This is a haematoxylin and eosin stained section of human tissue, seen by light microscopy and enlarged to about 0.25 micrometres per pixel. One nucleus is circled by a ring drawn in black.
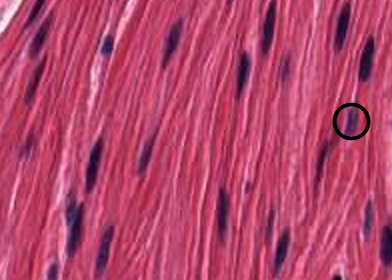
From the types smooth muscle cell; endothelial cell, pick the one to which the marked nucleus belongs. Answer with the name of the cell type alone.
smooth muscle cell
